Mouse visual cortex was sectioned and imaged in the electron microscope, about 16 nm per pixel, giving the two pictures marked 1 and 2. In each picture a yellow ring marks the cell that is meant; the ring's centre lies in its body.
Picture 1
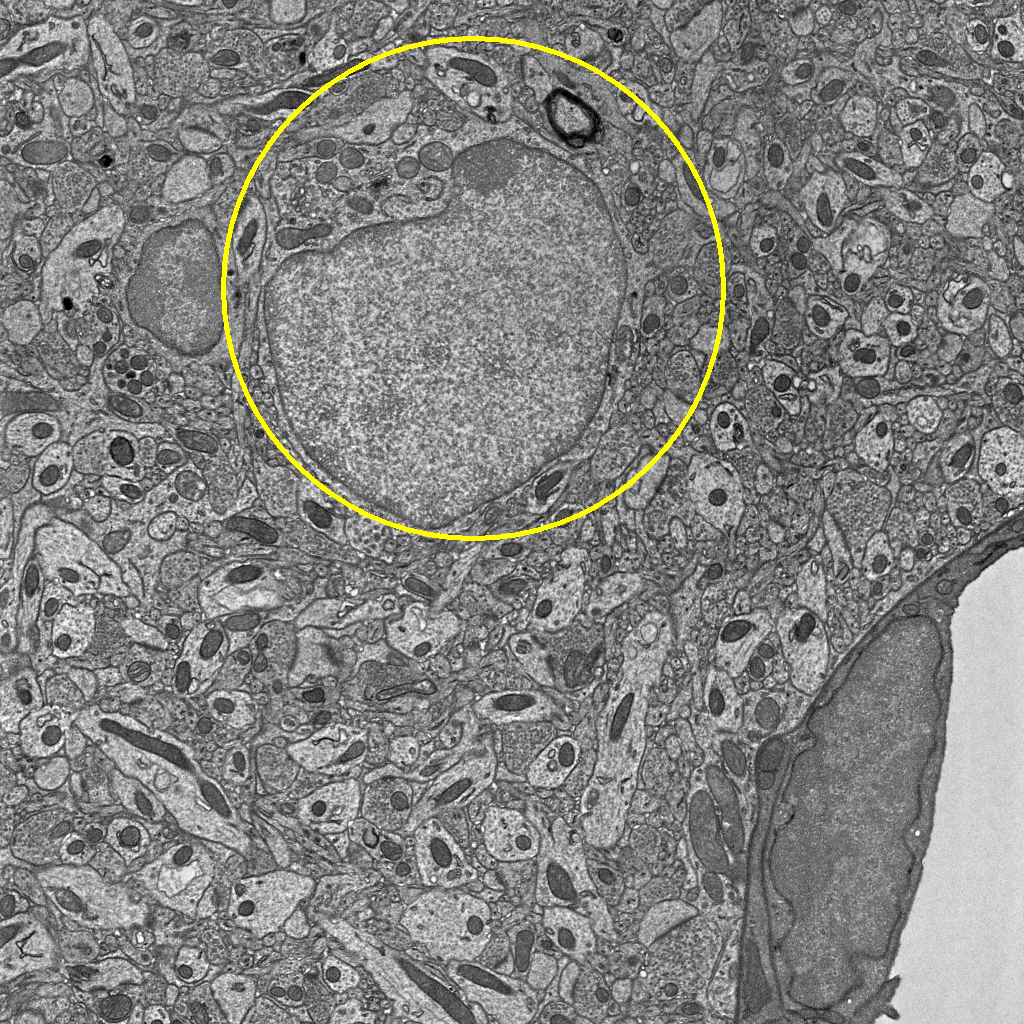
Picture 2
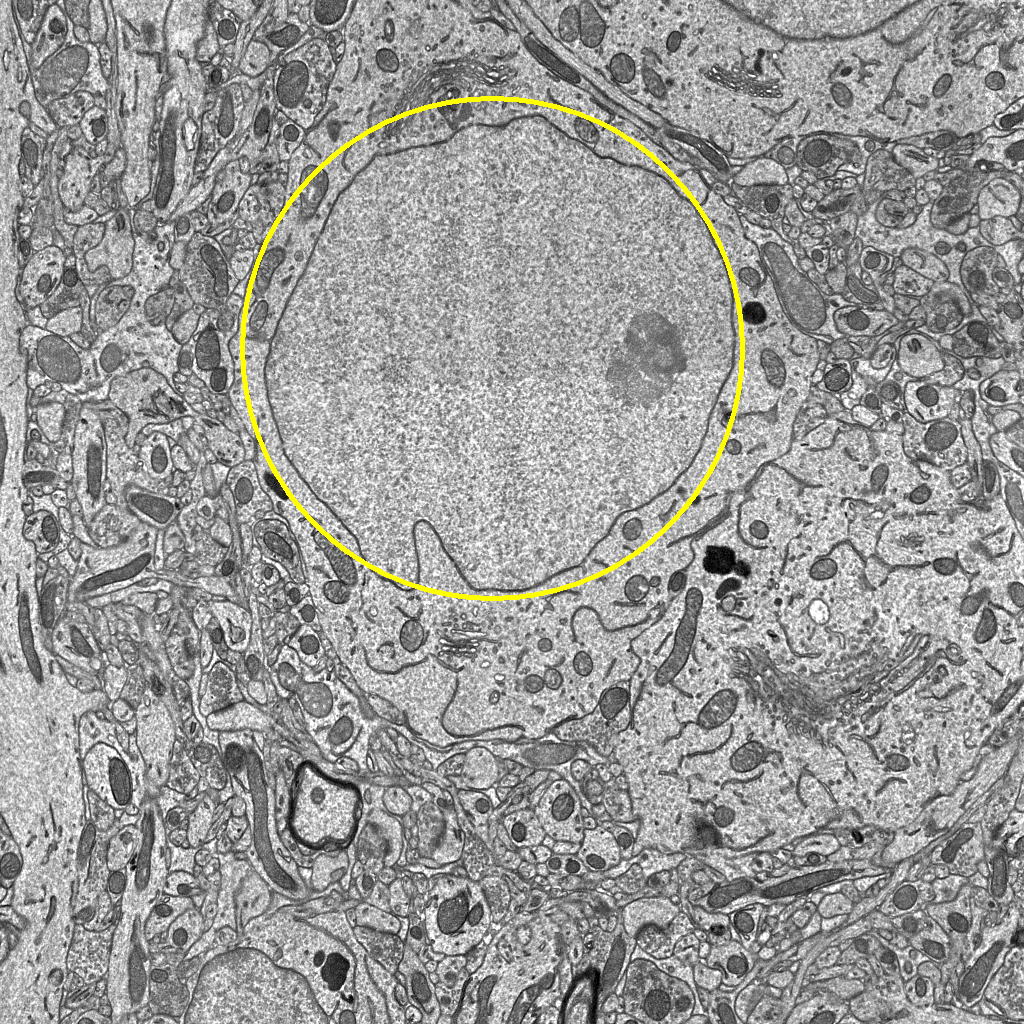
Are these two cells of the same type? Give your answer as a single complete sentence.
No, the types are not the same, since picture 1 shows an astrocyte and picture 2 an excitatory neuron.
